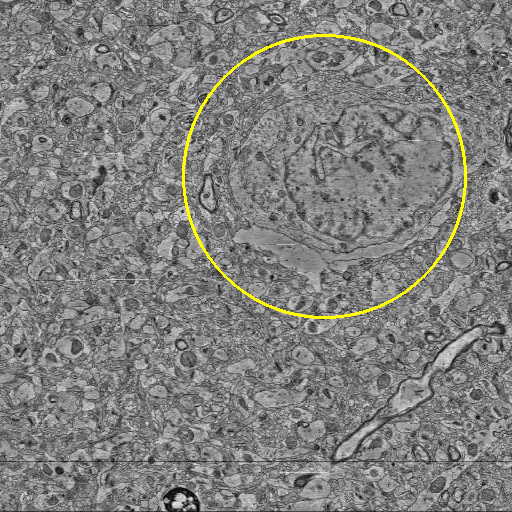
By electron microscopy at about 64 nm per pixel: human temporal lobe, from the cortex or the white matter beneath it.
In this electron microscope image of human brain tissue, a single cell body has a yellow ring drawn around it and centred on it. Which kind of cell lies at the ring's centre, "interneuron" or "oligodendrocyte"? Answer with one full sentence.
It is an interneuron whose cell body lies at the centre of the yellow ring here.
